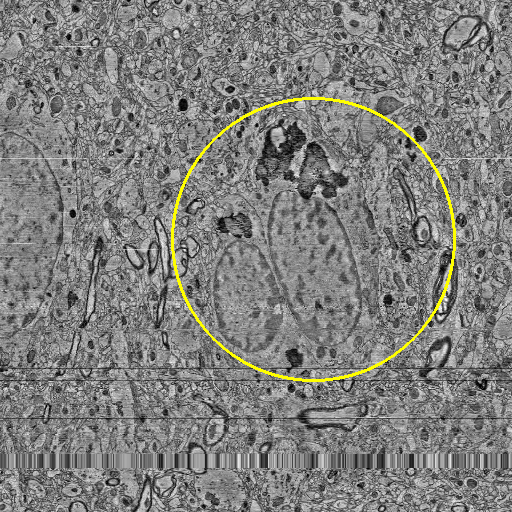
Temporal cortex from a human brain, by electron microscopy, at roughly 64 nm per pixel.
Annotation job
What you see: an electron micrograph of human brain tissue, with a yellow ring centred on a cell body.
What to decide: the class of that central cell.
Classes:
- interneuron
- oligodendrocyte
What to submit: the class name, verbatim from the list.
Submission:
oligodendrocyte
